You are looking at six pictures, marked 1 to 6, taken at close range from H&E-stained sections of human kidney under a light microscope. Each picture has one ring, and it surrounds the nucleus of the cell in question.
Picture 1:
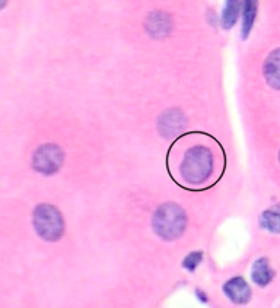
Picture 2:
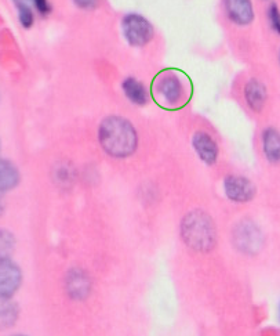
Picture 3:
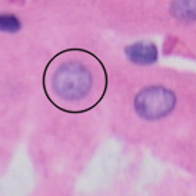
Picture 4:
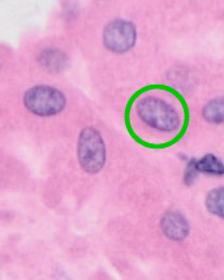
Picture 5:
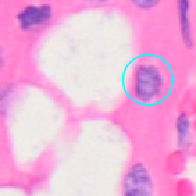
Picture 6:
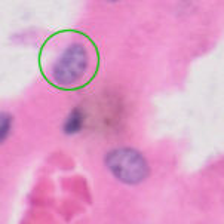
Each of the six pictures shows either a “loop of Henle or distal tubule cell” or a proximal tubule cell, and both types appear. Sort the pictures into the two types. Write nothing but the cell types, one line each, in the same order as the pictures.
proximal tubule cell
loop of Henle or distal tubule cell
proximal tubule cell
proximal tubule cell
loop of Henle or distal tubule cell
loop of Henle or distal tubule cell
